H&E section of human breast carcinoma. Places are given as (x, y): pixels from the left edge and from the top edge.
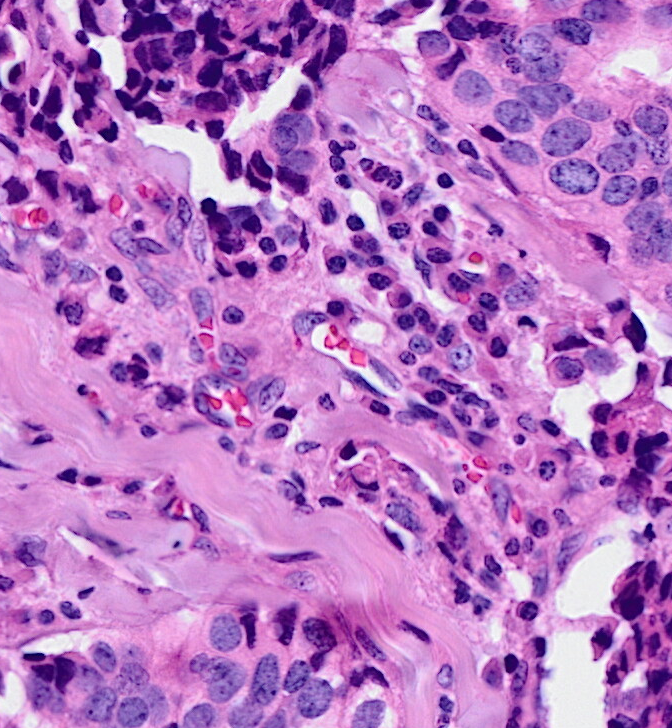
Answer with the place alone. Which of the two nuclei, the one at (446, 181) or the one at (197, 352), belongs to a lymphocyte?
(446, 181)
